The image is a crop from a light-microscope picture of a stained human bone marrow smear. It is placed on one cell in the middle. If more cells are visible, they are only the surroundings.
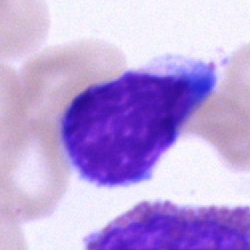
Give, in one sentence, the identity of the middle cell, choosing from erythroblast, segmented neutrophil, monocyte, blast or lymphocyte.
The cell under consideration, at the middle of the crop, is a lymphocyte.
